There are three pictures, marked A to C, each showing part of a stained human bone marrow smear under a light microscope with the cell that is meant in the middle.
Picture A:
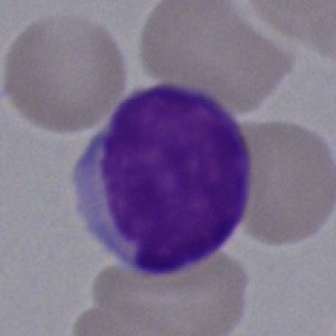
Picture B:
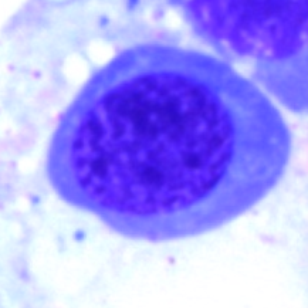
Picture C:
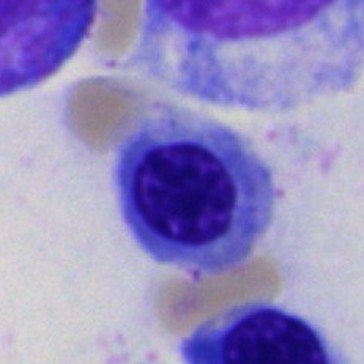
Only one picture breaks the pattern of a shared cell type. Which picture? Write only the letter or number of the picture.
A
